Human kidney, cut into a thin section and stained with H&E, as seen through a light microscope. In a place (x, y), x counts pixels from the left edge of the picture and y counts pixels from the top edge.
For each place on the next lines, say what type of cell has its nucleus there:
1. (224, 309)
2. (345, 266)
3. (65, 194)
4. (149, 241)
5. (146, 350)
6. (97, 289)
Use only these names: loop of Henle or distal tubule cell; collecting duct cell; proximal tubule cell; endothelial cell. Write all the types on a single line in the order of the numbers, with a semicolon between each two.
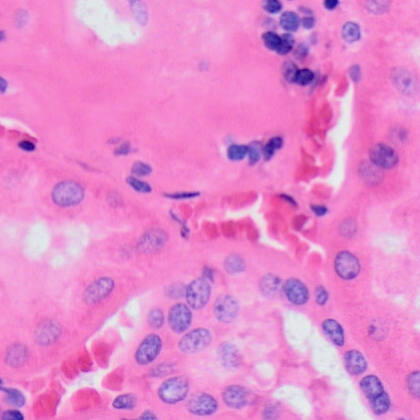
collecting duct cell; proximal tubule cell; proximal tubule cell; proximal tubule cell; collecting duct cell; proximal tubule cell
